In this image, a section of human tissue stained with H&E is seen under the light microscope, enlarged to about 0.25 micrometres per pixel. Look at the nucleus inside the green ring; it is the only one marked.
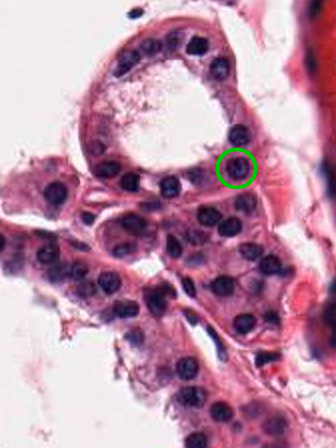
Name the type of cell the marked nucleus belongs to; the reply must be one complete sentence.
The marked nucleus is recognized as the nucleus of a thyroid follicular cell.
